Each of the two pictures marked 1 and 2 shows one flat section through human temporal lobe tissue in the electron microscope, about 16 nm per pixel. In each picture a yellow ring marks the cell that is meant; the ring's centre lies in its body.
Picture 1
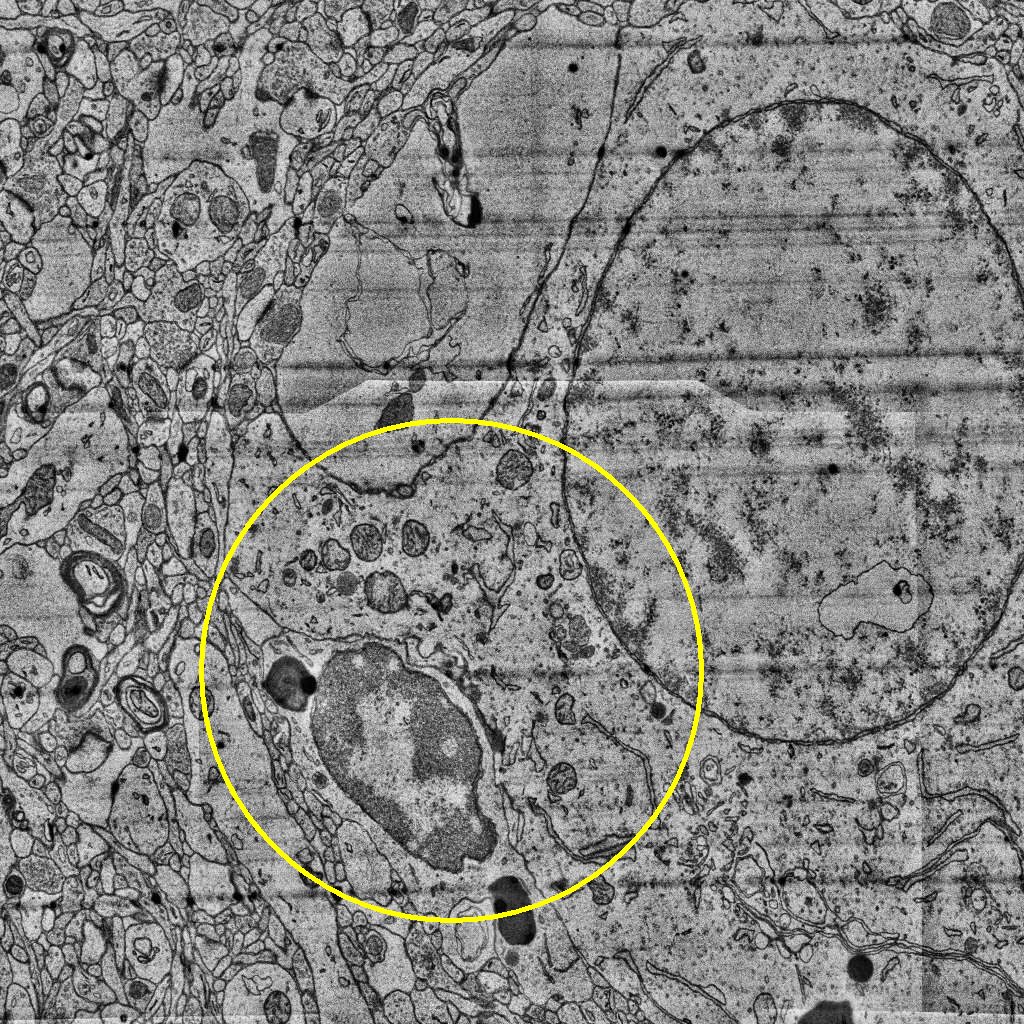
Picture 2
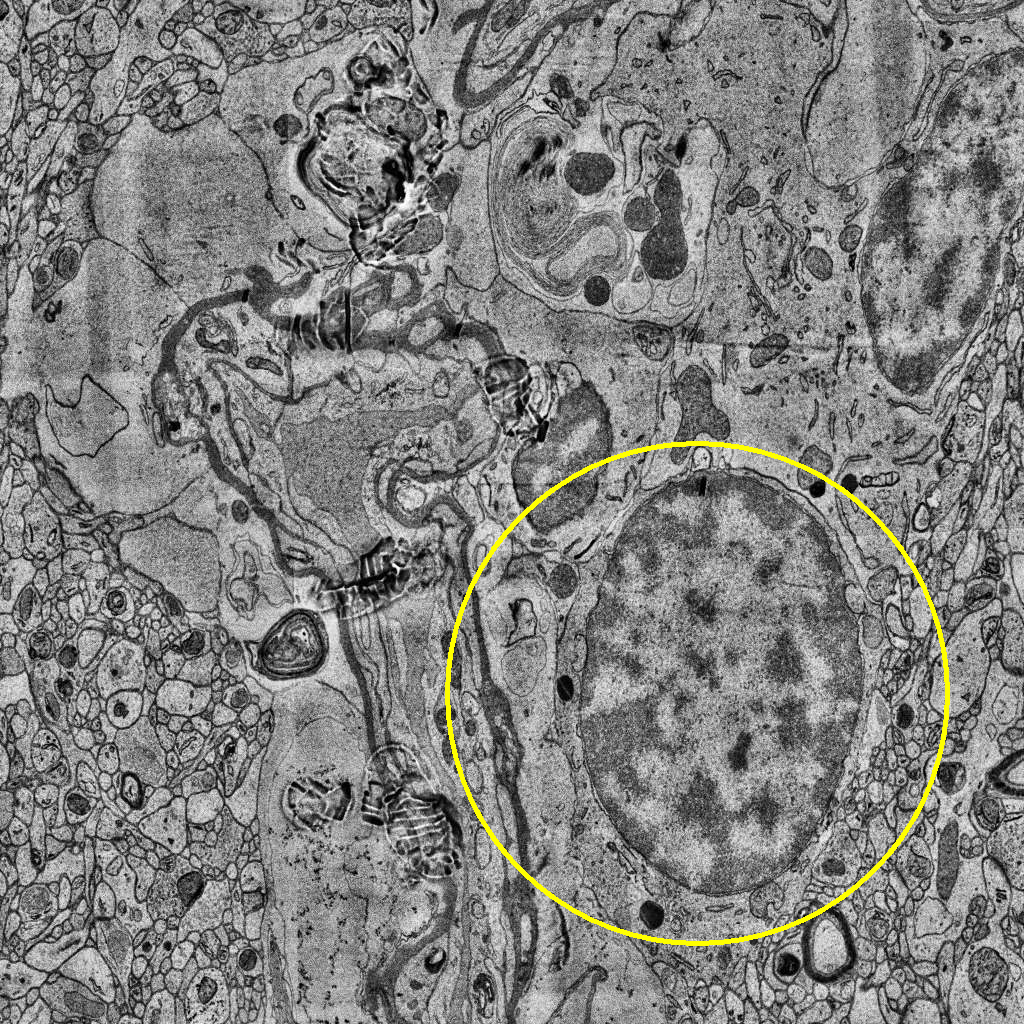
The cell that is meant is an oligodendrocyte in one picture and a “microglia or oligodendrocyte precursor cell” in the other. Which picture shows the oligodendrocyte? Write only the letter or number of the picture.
2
